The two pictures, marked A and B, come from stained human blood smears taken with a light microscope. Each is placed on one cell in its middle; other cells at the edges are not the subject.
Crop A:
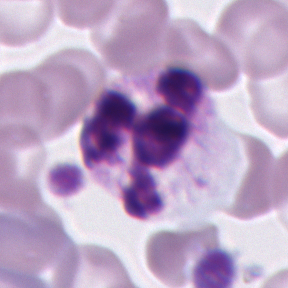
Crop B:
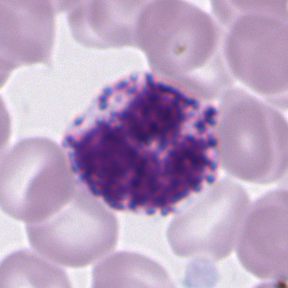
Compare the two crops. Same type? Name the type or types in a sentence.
No, crop A matches a neutrophil and crop B matches a basophil.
